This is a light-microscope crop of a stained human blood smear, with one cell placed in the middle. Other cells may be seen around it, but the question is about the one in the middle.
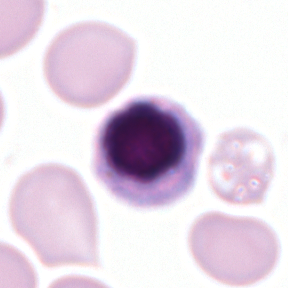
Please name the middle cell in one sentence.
The cell under consideration, at the middle of the crop, is a normoblast.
